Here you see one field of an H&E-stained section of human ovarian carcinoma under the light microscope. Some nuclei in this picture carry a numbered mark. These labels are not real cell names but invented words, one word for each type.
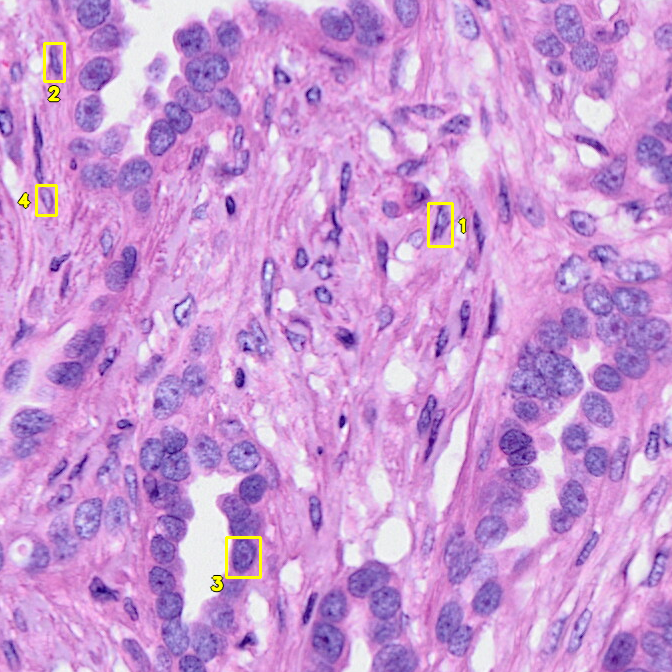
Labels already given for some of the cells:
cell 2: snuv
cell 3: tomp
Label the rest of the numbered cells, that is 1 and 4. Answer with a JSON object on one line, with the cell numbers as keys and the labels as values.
{"1": "snuv", "4": "snuv"}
